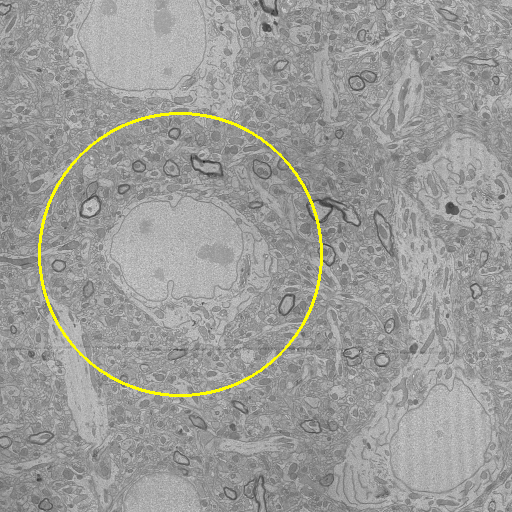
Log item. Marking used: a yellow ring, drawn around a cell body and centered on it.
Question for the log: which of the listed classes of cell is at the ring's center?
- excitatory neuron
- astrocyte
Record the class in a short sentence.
At the center of the ring lies an excitatory neuron.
